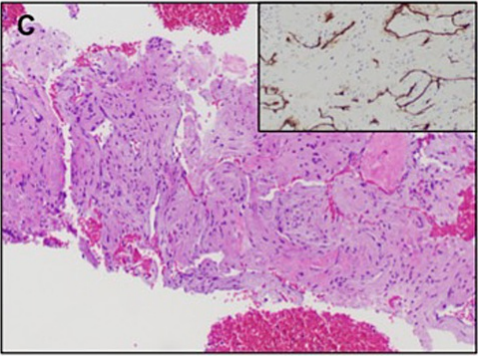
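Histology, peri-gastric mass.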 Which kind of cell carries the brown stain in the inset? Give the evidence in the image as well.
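Benign endothelial cells. Thin brown-stained lines outline small channels in the inset. The brown lines line the edges of lumina.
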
